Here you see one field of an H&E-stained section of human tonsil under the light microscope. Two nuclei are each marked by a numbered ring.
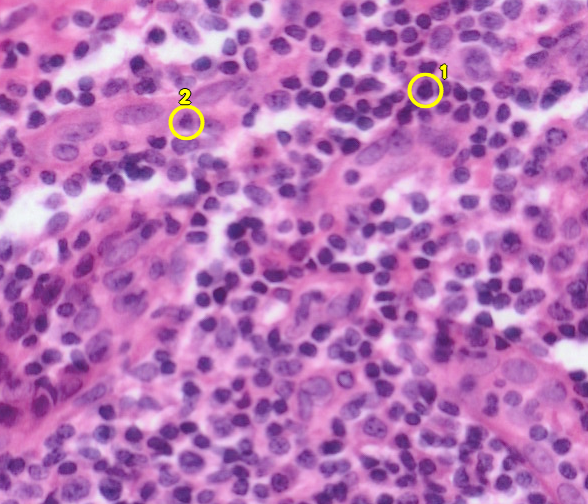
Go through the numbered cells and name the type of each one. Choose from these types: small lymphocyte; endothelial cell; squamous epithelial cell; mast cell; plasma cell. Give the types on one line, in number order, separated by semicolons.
small lymphocyte; endothelial cell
